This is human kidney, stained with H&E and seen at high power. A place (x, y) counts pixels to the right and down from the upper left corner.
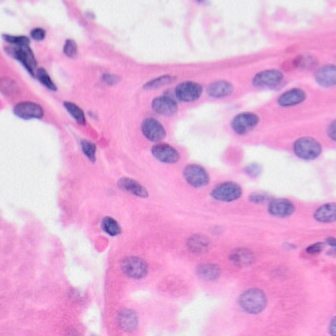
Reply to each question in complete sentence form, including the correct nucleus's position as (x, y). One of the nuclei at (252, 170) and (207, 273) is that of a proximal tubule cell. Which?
Of the pair, the nucleus located at (207, 273) belongs to a proximal tubule cell.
